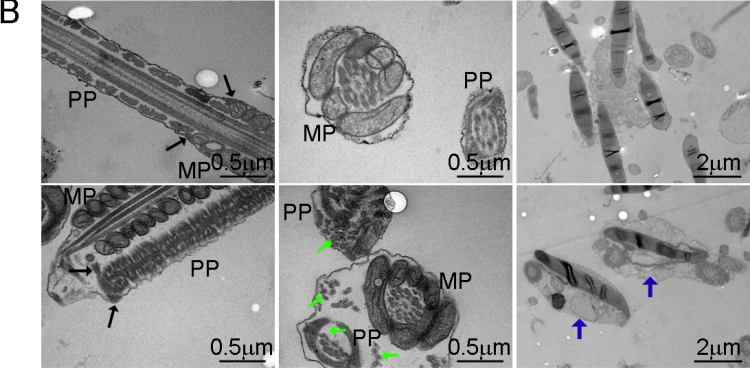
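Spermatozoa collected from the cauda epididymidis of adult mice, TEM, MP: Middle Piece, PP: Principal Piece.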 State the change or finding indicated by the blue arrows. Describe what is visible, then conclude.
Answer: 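Bent heads wrapped by cytoplasmic contents. Two elongated dark sperm heads lie within a membrane-bounded mass of pale material containing mitochondria. The blue arrows point at this enclosing material.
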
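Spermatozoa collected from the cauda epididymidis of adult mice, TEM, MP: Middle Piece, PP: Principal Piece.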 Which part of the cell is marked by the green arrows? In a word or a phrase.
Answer: Microtubules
